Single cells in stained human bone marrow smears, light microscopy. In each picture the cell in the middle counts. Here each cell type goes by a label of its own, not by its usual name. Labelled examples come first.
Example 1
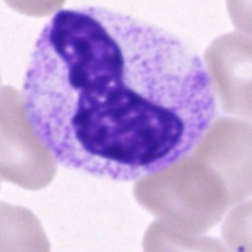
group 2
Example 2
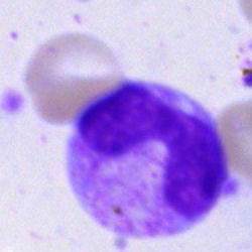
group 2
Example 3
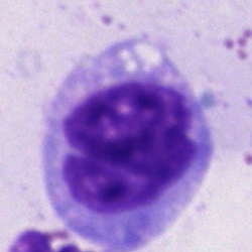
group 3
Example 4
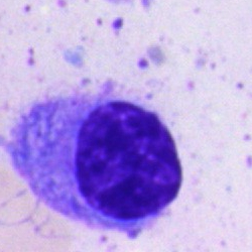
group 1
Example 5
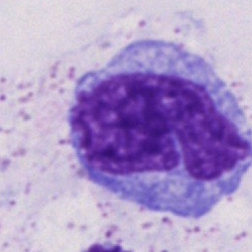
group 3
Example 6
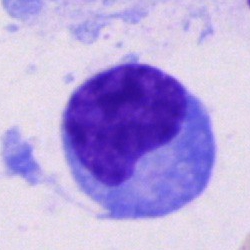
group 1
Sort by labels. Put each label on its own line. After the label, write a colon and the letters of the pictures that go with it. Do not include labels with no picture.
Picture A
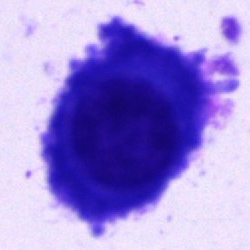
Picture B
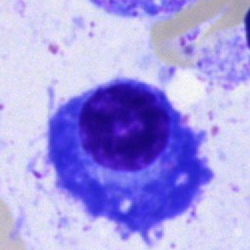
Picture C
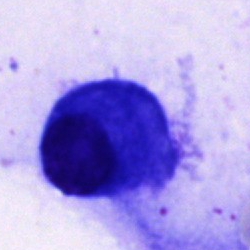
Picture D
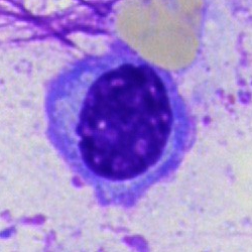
group 1: A, B, C, D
